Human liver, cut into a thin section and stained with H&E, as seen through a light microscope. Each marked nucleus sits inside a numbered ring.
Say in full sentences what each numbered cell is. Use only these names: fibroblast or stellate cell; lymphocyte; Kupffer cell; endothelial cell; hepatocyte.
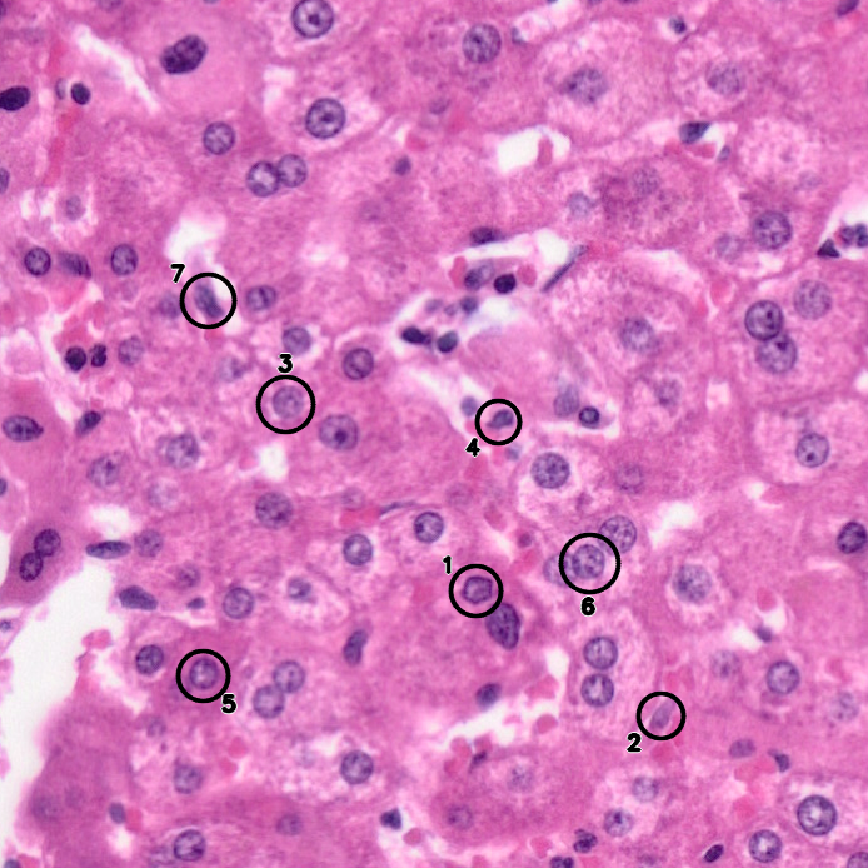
Cell 1 is a hepatocyte, cell 2 is a Kupffer cell, cell 3 is a hepatocyte, cell 4 is a lymphocyte, cell 5 is a hepatocyte, cell 6 is a hepatocyte and cell 7 is a Kupffer cell.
